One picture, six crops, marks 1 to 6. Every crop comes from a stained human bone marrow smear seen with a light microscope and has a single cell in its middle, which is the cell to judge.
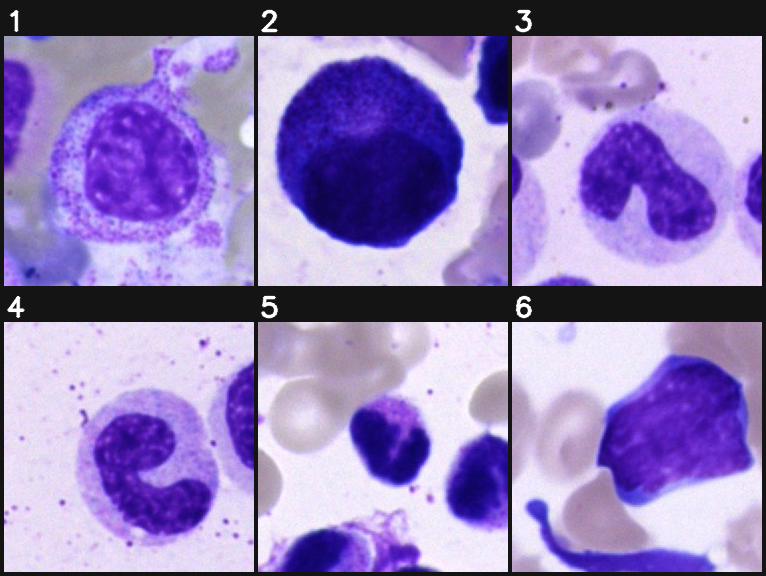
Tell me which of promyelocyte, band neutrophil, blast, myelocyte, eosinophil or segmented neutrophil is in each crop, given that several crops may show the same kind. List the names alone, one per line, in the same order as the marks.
myelocyte
promyelocyte
band neutrophil
band neutrophil
segmented neutrophil
blast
